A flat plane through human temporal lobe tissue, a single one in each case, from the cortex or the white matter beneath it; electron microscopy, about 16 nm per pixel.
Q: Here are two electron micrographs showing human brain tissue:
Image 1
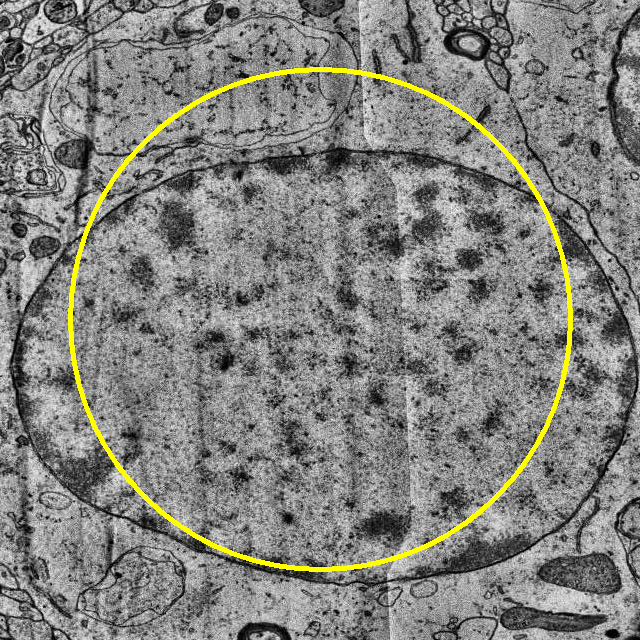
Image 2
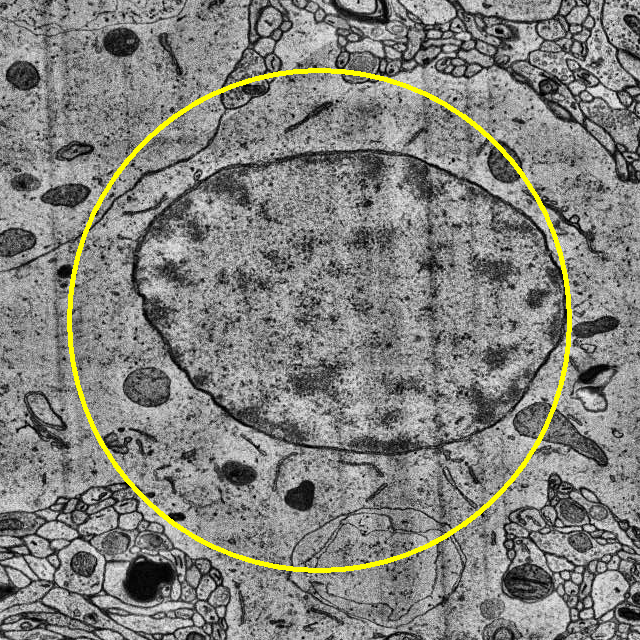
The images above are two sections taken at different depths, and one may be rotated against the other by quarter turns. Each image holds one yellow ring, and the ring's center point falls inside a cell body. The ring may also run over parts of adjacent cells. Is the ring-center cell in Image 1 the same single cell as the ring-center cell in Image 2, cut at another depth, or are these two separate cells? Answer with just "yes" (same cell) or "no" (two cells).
yes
